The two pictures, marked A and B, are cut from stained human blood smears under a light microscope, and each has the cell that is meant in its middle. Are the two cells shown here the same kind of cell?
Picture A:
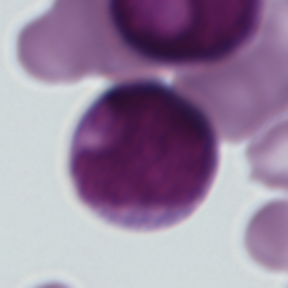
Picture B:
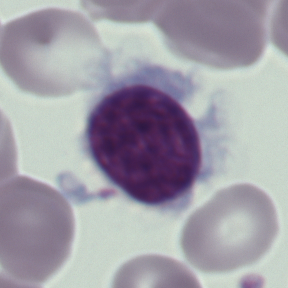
no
